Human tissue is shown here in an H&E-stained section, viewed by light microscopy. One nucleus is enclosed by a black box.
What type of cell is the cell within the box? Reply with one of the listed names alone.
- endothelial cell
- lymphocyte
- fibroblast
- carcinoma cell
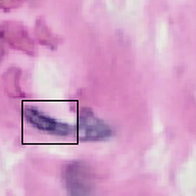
endothelial cell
